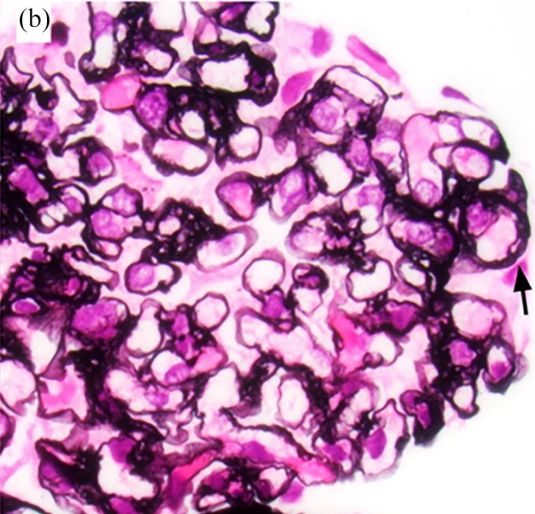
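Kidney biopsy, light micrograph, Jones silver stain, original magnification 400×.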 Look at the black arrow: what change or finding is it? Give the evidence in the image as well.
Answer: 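Capillary wall double contour formation. At the arrow the black wall line appears duplicated.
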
